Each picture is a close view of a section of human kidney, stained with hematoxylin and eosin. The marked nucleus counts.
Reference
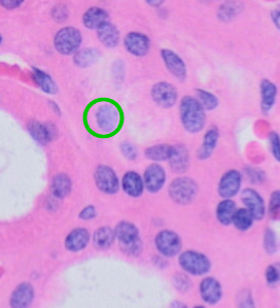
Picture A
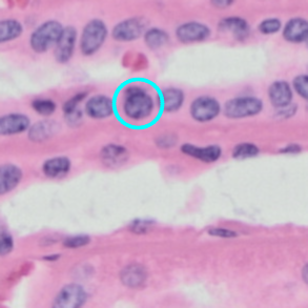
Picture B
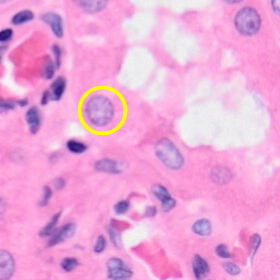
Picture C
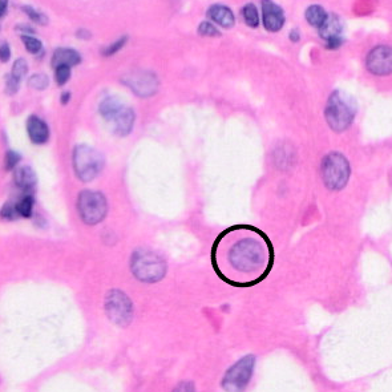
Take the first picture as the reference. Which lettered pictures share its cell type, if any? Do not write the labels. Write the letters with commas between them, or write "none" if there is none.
A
